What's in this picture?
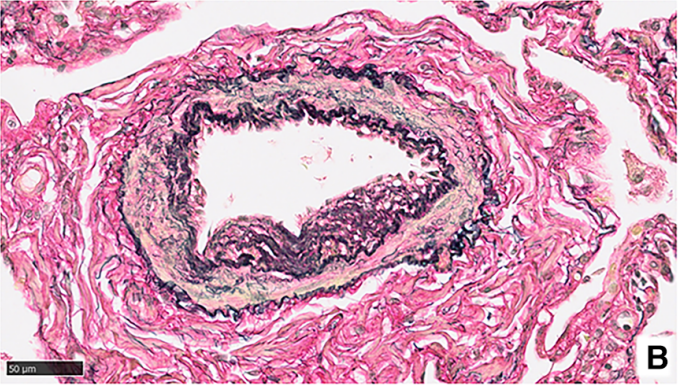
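This high-power view shows a pulmonary muscular artery cut across, with its wall thickened and its lumen narrowed into an irregular triangle. The wall is bounded by wavy black elastic laminae on its inner and outer sides, between which lies a broad yellowish-tan band of smooth muscle, the thickened media. Inside the inner elastic layer the lining is thickened and uneven, with dark wavy material bulging into the lumen, reflecting cellular proliferation of the intima. Around the vessel the adventitia is a wide cuff of loose pink-red collagen fibres. Thin alveolar walls of the surrounding lung are seen at the edges of the field.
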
